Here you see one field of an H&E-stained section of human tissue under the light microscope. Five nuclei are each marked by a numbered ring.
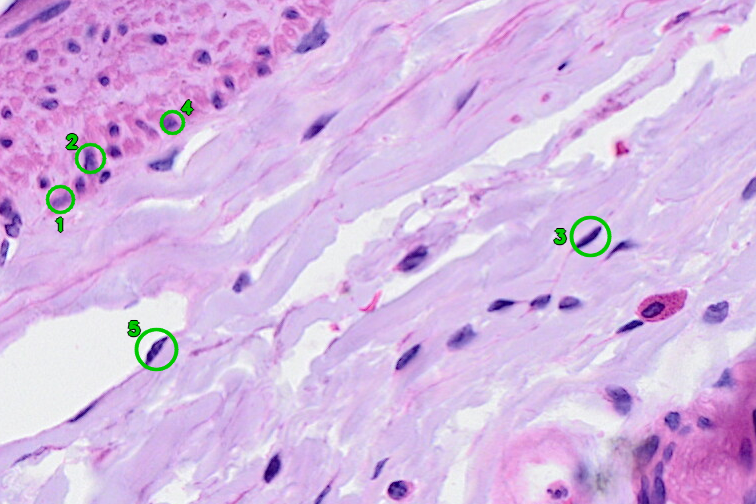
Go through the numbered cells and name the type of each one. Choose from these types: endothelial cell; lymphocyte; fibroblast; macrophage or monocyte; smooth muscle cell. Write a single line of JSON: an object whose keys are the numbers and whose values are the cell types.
{"1": "smooth muscle cell", "2": "smooth muscle cell", "3": "fibroblast", "4": "smooth muscle cell", "5": "endothelial cell"}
